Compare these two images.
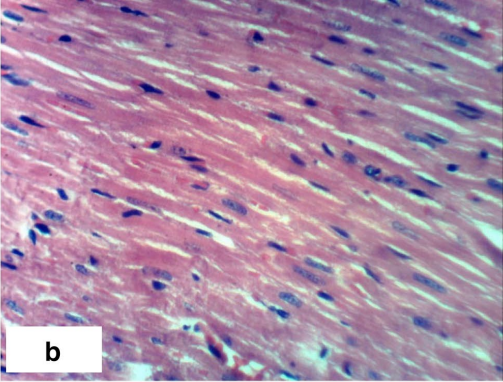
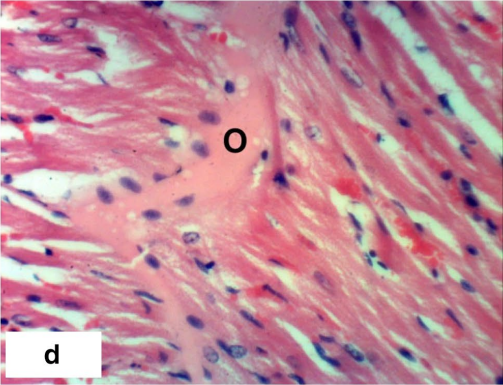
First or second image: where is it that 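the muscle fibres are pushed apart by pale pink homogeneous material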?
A: The second image.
